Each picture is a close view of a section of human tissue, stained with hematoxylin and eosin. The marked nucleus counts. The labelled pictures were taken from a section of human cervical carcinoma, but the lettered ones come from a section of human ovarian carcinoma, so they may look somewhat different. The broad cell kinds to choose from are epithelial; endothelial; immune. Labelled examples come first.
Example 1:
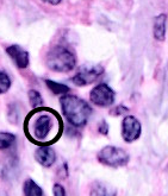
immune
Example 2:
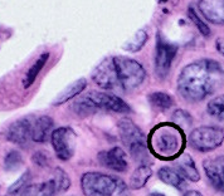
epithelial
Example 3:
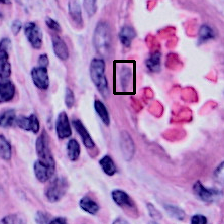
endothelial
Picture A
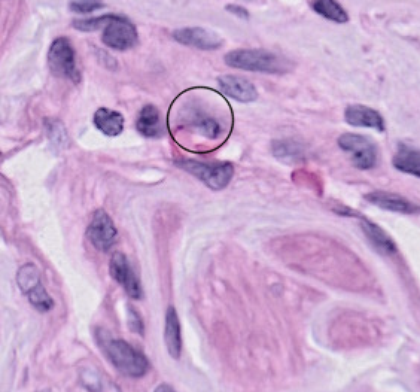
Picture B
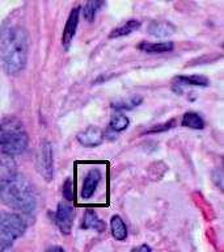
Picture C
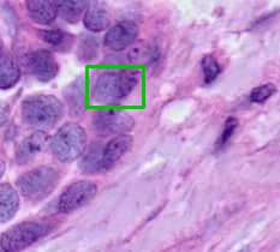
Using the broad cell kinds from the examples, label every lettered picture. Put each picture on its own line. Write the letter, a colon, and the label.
A: endothelial
B: immune
C: epithelial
